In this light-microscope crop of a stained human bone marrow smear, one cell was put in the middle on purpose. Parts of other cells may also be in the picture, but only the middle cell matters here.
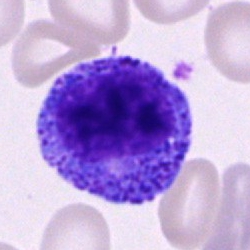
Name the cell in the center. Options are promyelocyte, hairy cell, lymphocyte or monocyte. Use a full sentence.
Where the crop is centred, there is a promyelocyte.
